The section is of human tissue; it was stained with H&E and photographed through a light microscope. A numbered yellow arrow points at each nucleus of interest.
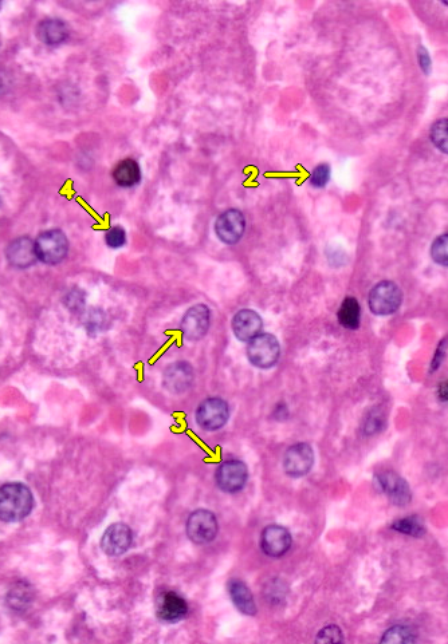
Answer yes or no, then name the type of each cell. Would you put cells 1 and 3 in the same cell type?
Yes, cells 1 and 3 are alike in being hepatocytes.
